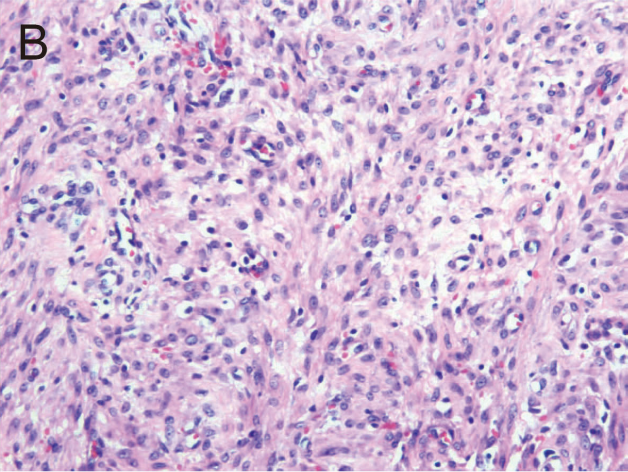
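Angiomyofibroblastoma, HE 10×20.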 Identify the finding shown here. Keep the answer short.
Loose and edematous.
